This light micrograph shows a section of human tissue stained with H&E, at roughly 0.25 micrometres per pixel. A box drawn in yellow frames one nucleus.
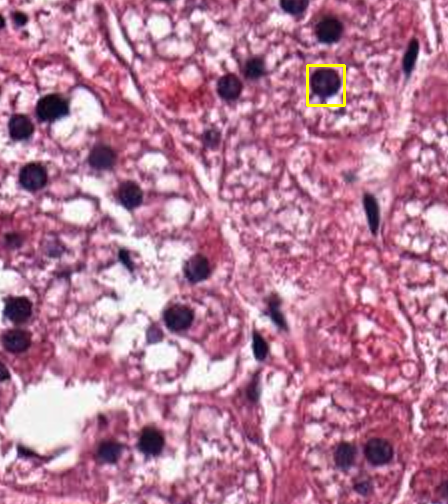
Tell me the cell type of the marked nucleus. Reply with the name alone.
adrenal cortical cell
